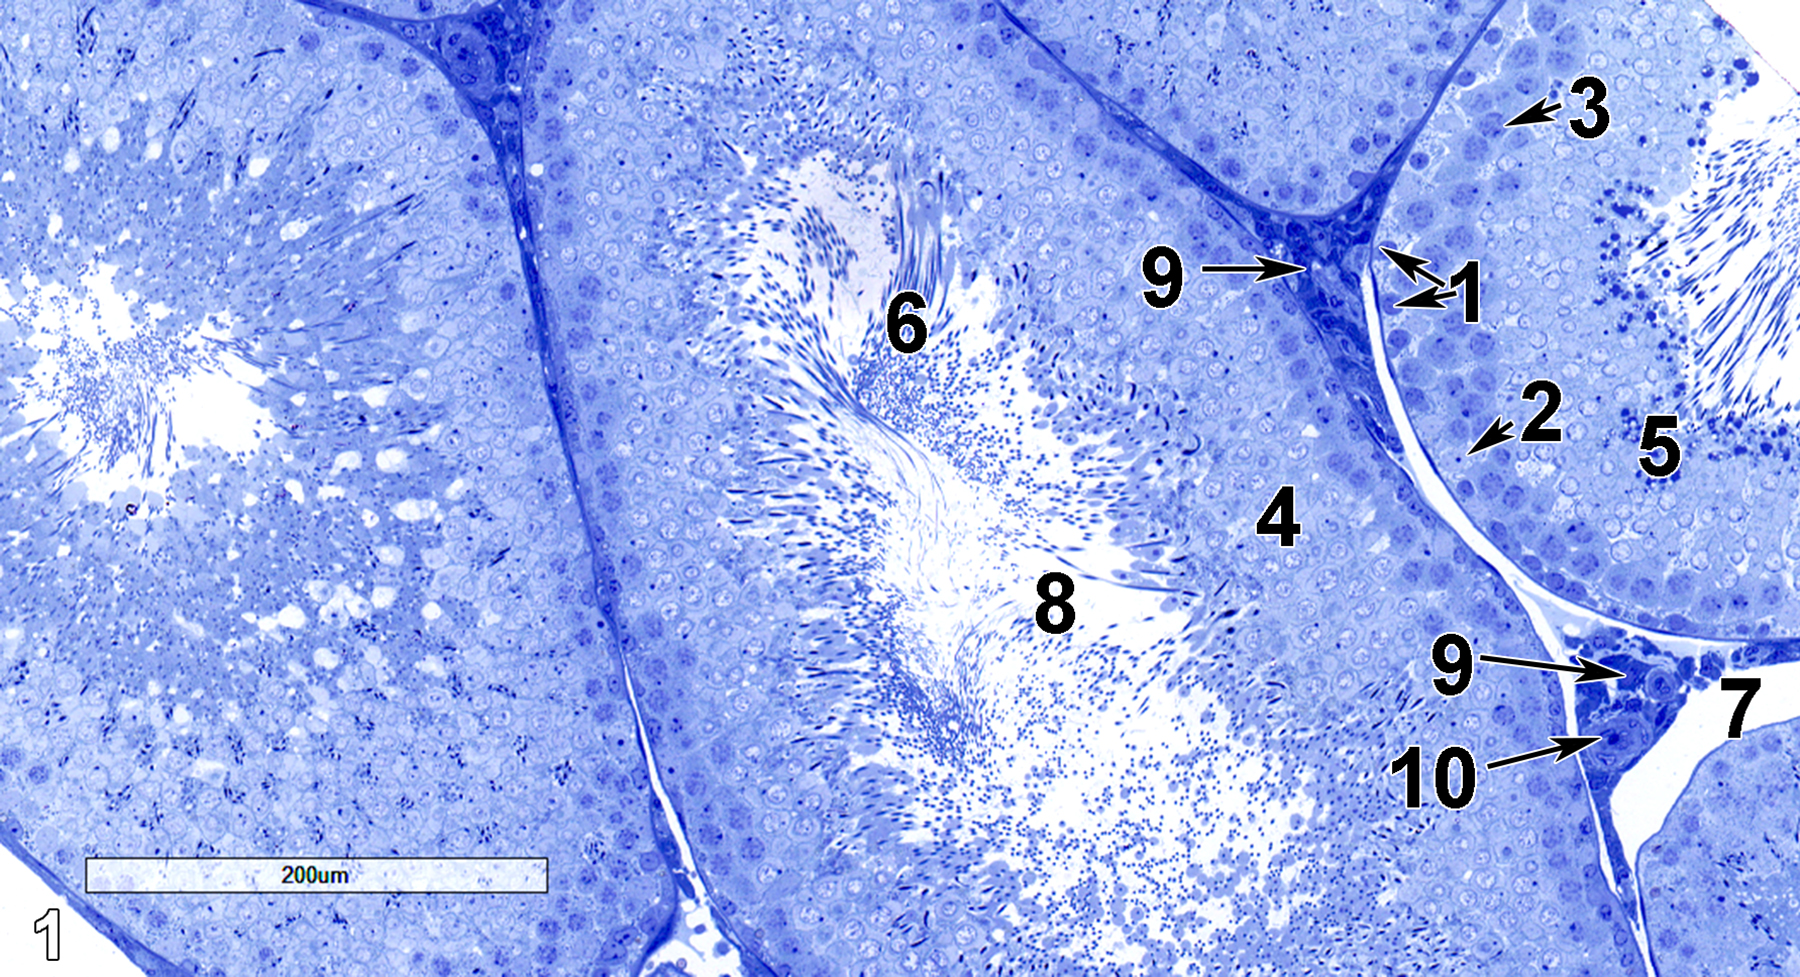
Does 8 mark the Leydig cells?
No. The seminiferous tubule lumen.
